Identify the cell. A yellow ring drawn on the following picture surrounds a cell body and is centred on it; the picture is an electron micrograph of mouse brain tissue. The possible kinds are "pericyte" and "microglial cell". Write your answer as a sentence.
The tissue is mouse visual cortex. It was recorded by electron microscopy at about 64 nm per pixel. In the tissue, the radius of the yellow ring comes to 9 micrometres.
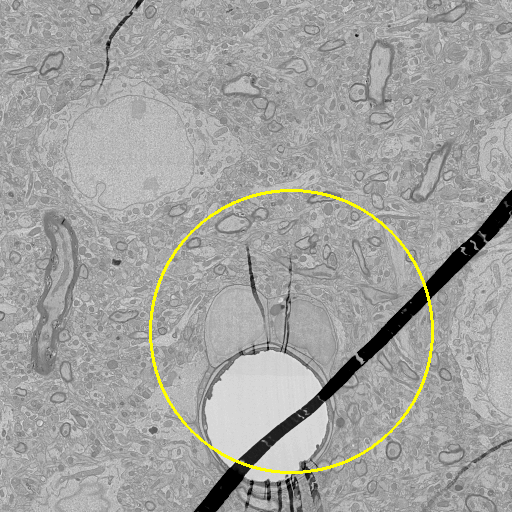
The cell identified by the ring is a microglial cell.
